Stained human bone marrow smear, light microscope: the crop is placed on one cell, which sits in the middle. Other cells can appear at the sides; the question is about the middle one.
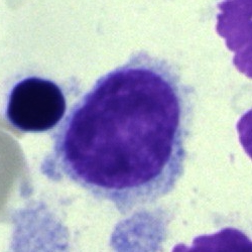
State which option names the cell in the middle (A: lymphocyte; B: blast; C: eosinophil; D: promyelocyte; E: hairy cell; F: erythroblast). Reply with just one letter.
E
